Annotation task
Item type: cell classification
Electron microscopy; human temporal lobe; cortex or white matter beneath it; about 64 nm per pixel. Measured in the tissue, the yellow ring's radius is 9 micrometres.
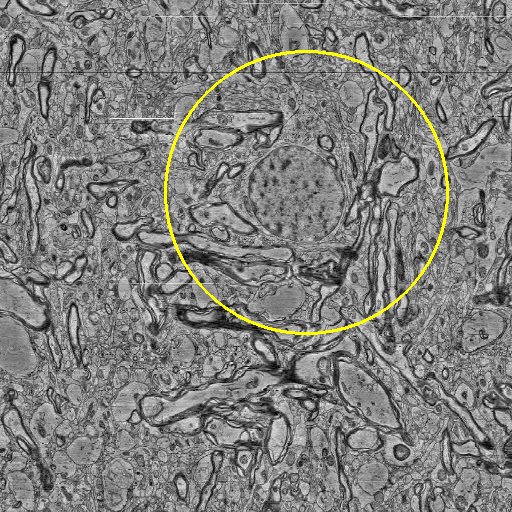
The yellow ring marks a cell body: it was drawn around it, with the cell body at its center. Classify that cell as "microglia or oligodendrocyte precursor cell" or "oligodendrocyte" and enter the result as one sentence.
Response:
The ring's center falls on a microglial cell or oligodendrocyte precursor cell.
